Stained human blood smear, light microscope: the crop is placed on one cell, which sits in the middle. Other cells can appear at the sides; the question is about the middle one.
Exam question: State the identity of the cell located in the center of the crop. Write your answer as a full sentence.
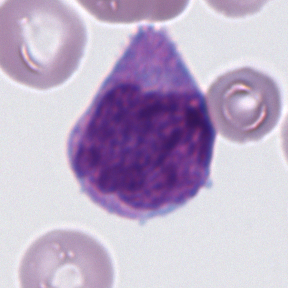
The cell occupying the middle of the crop is an atypical promyelocyte.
